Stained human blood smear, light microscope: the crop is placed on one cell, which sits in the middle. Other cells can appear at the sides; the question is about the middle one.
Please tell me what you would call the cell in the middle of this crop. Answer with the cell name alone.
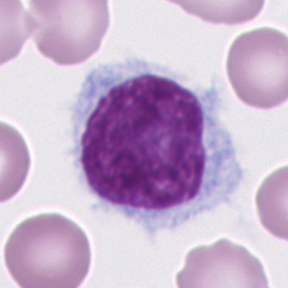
hairy cell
